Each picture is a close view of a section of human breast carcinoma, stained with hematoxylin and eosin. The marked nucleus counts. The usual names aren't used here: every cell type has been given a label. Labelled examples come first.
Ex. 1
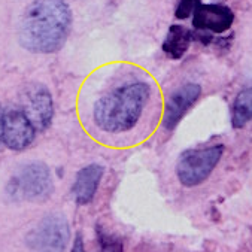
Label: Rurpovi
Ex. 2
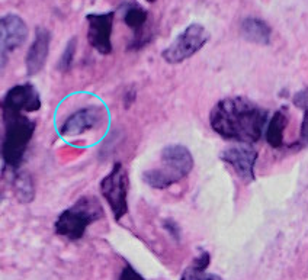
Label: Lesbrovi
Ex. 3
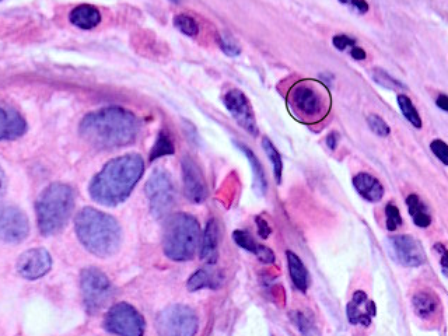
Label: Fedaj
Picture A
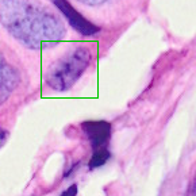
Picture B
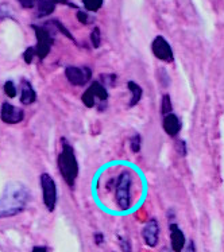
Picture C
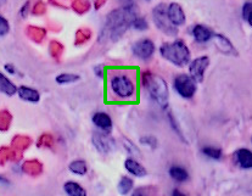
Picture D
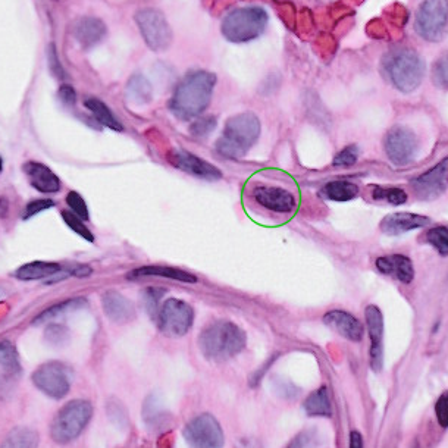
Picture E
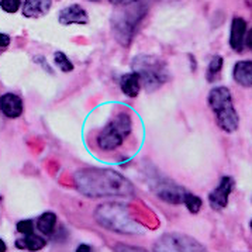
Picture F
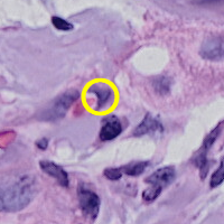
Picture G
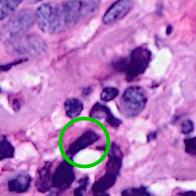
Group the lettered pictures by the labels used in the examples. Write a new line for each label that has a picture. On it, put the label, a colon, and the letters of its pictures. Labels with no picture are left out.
Rurpovi: A, G
Lesbrovi: B, F
Fedaj: C, D, E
